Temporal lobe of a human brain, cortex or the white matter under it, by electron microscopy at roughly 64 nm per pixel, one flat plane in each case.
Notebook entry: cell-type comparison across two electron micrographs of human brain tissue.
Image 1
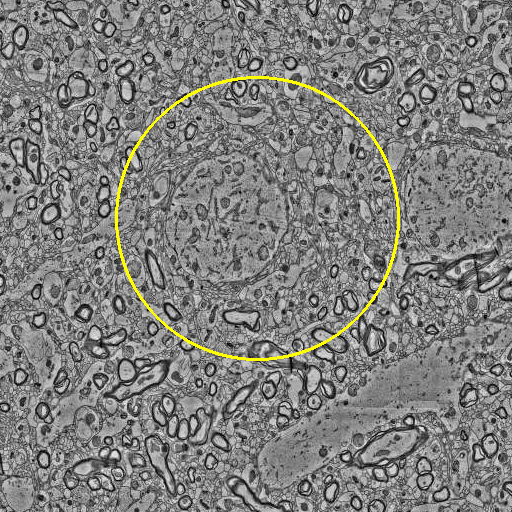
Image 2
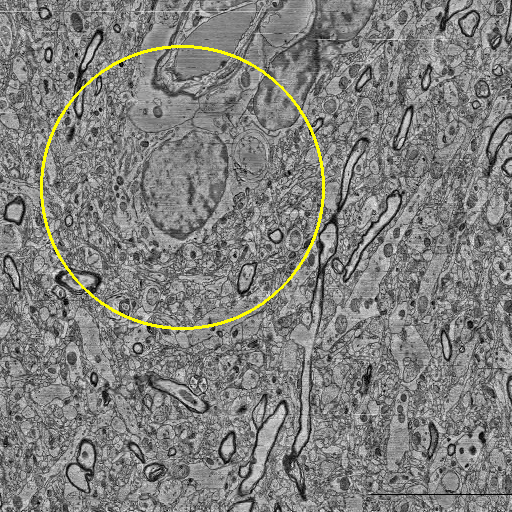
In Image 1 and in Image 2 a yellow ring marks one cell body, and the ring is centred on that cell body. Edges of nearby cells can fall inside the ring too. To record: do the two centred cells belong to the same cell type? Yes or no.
no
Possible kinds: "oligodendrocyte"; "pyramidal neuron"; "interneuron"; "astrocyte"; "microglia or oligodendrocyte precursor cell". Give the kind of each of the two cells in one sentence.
The cell in the second picture is a microglial cell or oligodendrocyte precursor cell, and that in the first is a pyramidal neuron.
